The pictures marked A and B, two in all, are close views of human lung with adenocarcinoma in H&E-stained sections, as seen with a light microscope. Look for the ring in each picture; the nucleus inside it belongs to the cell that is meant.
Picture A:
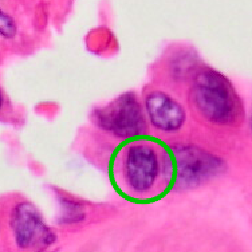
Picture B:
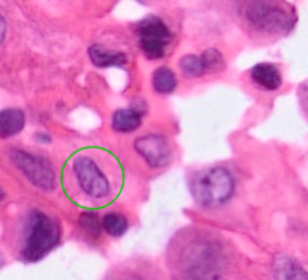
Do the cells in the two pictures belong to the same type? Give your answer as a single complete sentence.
No, the types are not the same, since picture A shows a carcinoma cell and picture B a “macrophage or monocyte”.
